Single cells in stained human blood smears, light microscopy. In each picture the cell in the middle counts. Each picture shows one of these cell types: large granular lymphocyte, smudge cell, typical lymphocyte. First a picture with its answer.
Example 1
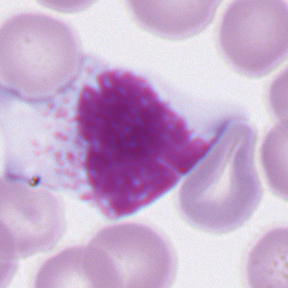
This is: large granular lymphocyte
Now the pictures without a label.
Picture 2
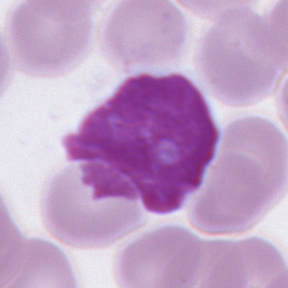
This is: smudge cell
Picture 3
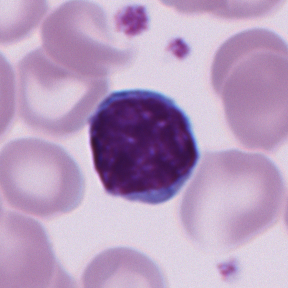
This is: typical lymphocyte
